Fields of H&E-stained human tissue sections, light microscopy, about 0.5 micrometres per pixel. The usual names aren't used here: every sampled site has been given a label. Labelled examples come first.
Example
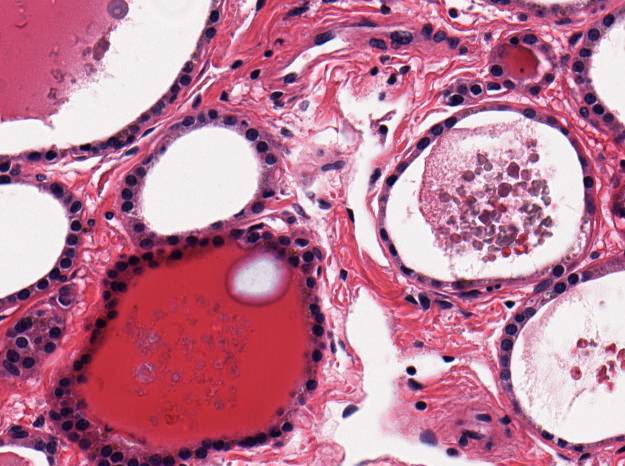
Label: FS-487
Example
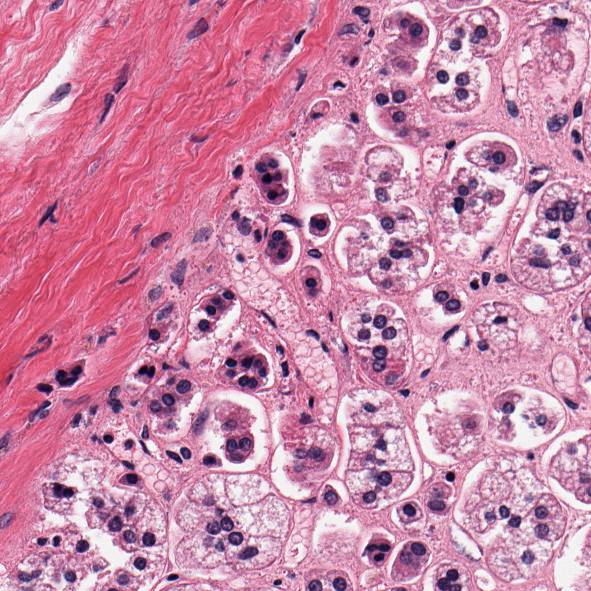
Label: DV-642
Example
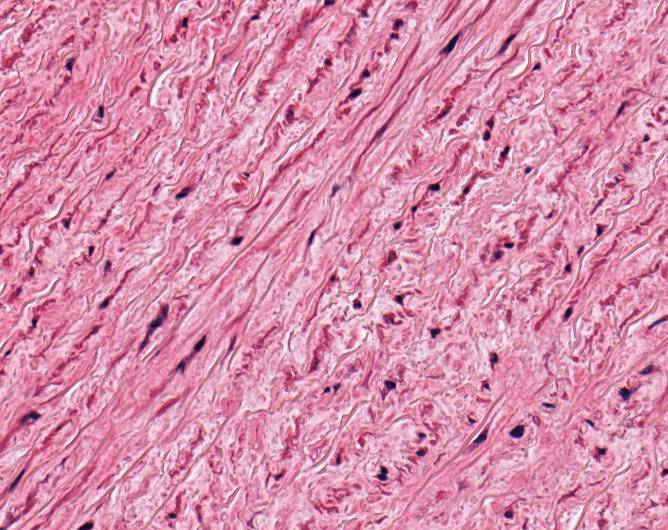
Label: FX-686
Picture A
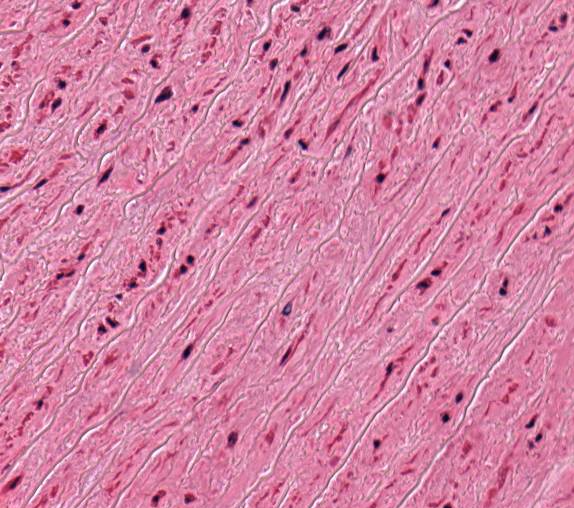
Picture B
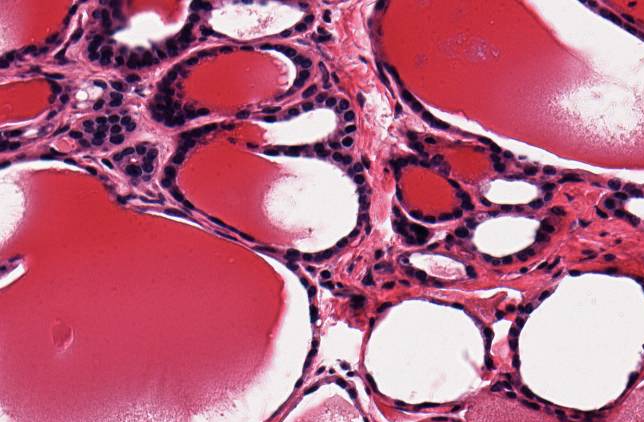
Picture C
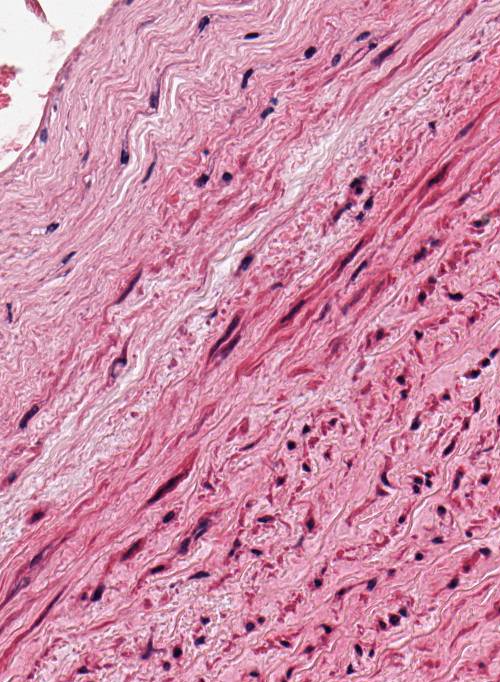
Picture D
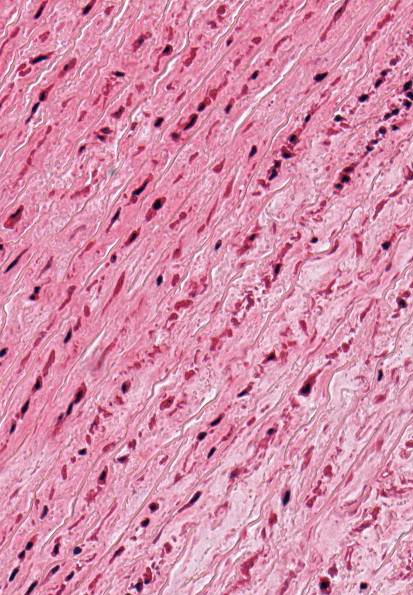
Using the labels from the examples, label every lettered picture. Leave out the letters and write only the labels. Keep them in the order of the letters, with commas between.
FX-686, FS-487, FX-686, FX-686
